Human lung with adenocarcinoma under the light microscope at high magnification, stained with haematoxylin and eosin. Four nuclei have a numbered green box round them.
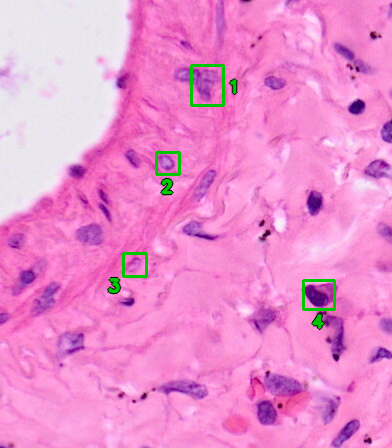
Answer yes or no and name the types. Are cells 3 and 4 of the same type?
No, cell 3 is a smooth muscle cell or pericyte and cell 4 is a plasma cell.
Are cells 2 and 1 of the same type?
Yes, both are smooth muscle cells or pericytes.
